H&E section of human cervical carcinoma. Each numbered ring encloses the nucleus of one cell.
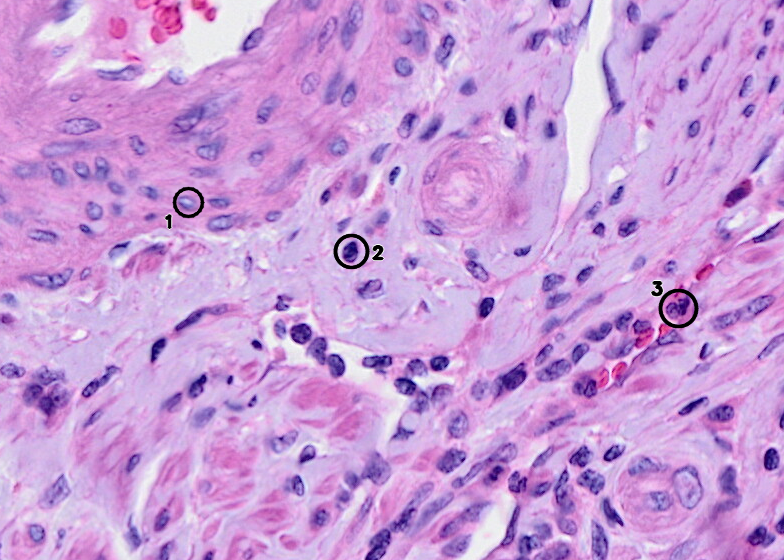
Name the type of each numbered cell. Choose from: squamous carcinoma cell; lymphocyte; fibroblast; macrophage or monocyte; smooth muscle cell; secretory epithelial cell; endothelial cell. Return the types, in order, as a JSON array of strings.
["smooth muscle cell", "lymphocyte", "endothelial cell"]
